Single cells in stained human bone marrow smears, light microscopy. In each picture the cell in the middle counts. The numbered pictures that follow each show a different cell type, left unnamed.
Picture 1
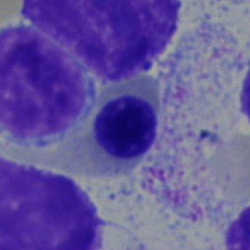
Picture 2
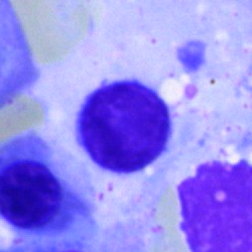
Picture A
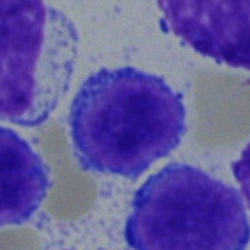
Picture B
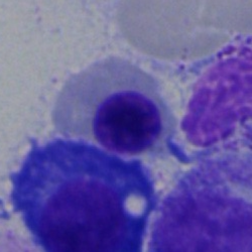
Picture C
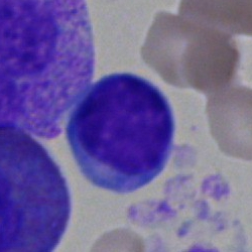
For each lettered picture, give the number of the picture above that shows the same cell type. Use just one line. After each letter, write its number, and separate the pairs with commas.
A 2, B 1, C 2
